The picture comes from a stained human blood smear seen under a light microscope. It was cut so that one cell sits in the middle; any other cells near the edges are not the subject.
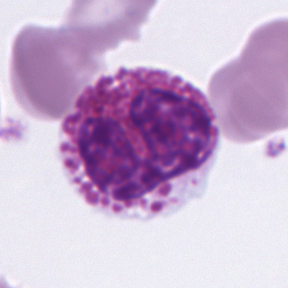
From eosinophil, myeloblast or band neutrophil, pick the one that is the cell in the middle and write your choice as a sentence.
The middle of this crop holds an eosinophil.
